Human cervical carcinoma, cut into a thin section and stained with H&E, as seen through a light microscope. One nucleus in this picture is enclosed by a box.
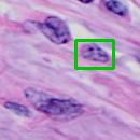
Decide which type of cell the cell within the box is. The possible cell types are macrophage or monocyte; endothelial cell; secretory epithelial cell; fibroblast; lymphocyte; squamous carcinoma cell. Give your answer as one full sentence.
What the cell within the box represents is a macrophage or monocyte.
